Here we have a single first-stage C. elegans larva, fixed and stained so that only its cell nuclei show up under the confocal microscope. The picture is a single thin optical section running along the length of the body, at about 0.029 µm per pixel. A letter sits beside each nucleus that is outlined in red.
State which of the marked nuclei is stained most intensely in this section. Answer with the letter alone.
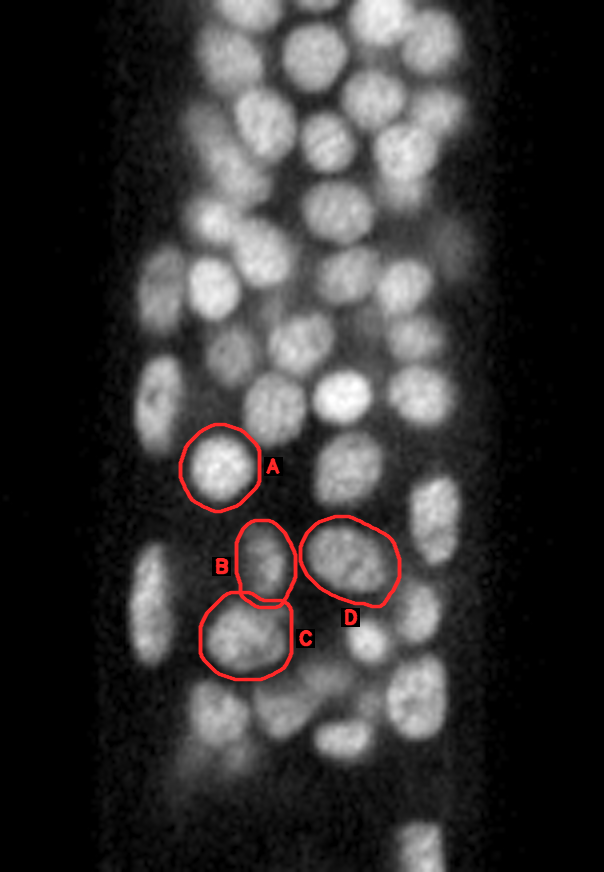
A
